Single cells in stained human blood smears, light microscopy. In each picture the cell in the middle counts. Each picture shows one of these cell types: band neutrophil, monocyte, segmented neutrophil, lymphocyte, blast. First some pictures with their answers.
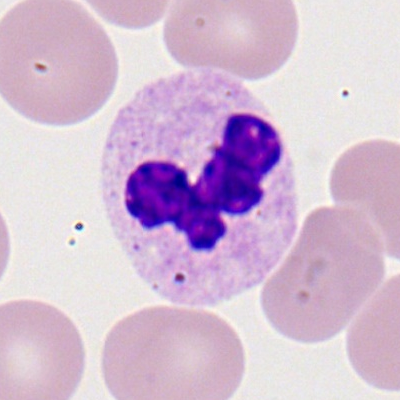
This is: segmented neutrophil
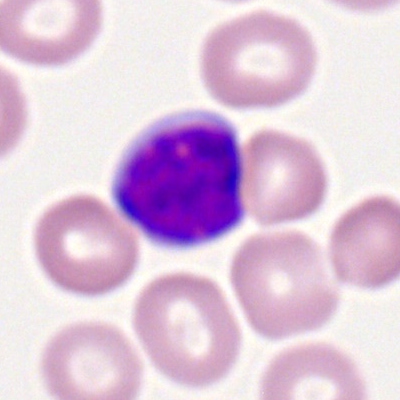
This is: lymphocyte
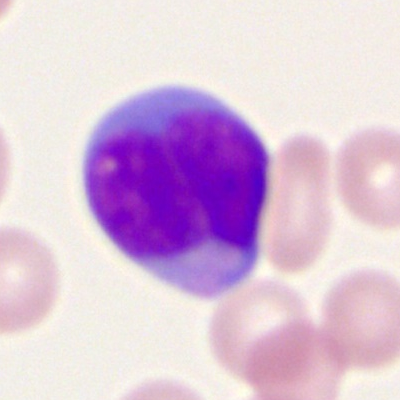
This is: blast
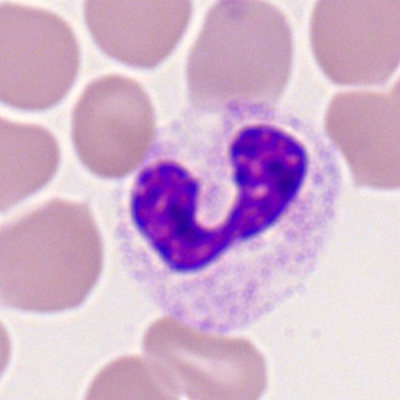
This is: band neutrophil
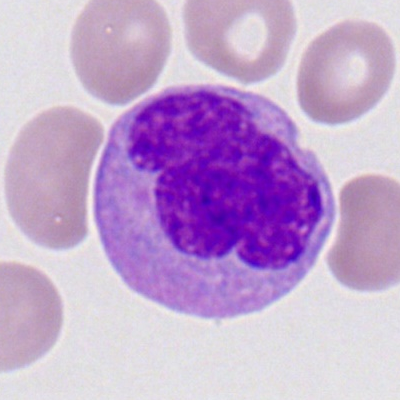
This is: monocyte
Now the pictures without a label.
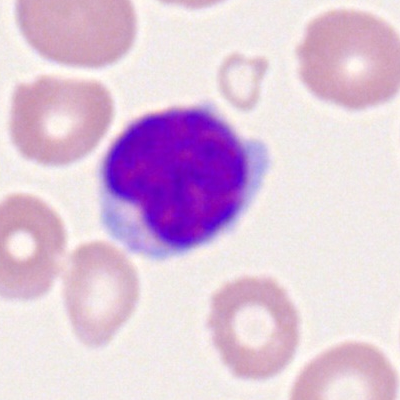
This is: lymphocyte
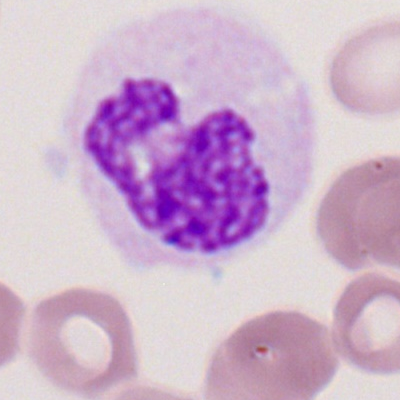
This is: segmented neutrophil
